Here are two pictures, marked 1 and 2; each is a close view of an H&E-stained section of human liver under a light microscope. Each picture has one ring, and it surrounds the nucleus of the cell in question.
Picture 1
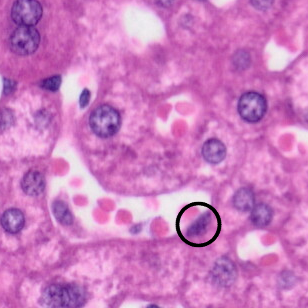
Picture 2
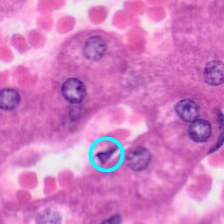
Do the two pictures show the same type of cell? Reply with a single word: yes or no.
yes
